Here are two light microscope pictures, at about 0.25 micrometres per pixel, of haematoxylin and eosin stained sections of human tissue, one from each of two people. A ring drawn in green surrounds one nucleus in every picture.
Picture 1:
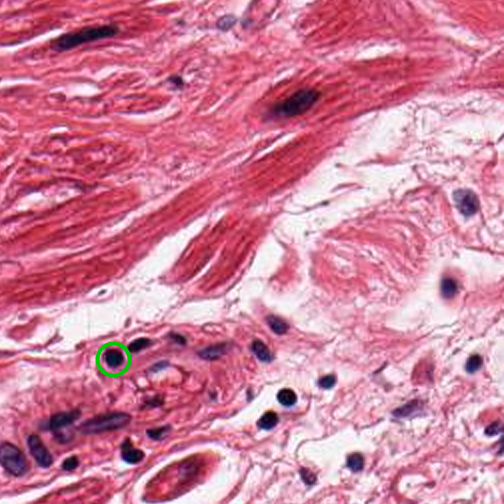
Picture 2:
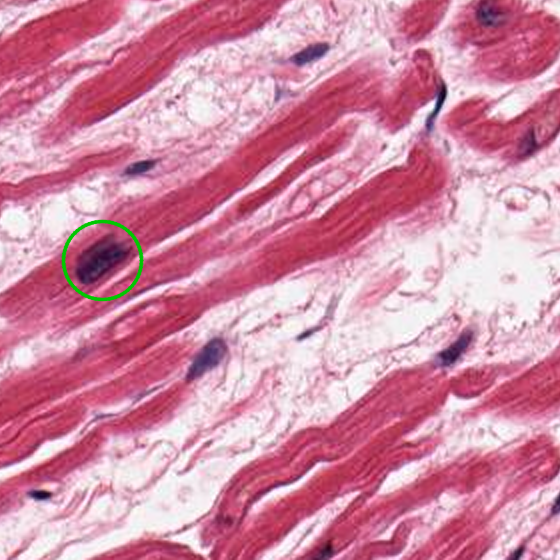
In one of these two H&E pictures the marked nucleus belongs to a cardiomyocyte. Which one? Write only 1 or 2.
2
